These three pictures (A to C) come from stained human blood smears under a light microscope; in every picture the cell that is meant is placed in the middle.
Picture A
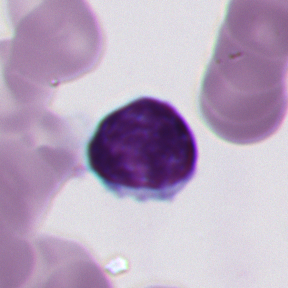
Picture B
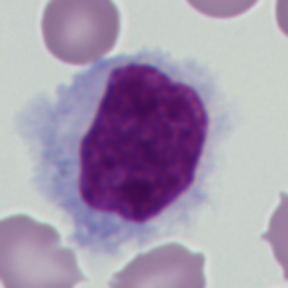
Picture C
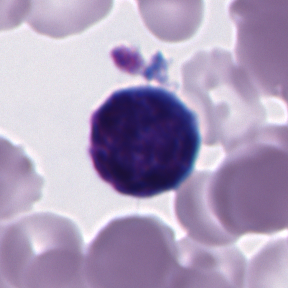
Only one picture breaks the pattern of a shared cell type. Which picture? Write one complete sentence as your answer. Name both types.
All pictures except B show typical lymphocytes; picture B shows a hairy cell.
